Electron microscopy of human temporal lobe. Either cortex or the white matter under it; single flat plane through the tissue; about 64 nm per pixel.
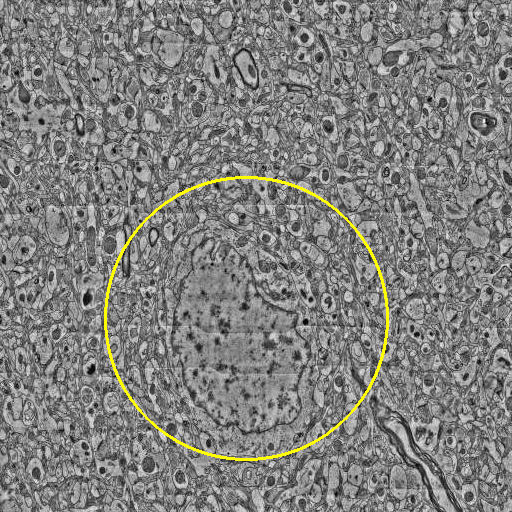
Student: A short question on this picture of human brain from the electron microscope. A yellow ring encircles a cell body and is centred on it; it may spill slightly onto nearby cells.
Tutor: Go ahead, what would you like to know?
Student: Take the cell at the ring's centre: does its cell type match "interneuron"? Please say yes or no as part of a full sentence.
Yes, in the picture, the cell at the ring's centre has that cell type.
